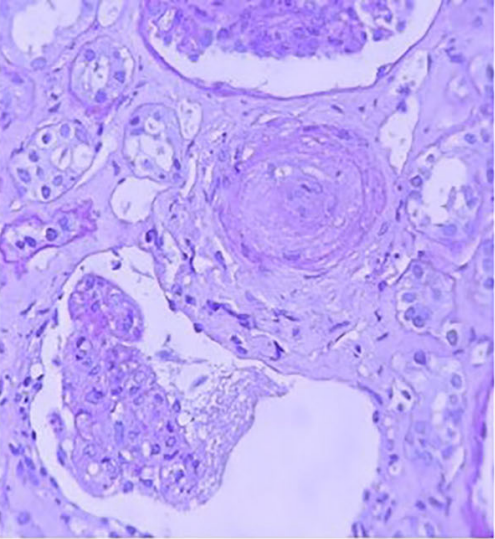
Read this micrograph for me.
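This section of kidney shows a small artery among tubules and glomeruli, its wall thickened by concentric layers of elongated cells in an onion-skin arrangement with pale, loose material between them and no open lumen. Below it a glomerular tuft appears shrunken and pulled away from the capsule, leaving a wide empty Bowman's space. Tubules with cuboidal epithelium and round nuclei surround these structures.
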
